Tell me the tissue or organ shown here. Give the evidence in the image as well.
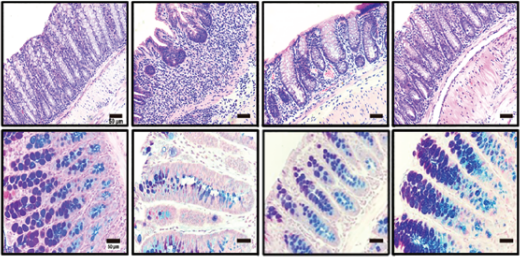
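Mucosa made of long parallel tubular crypts. No villi rise above the mucosal surface. A smooth muscle layer lies beneath the mucosa.
Answer: Colon tissue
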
